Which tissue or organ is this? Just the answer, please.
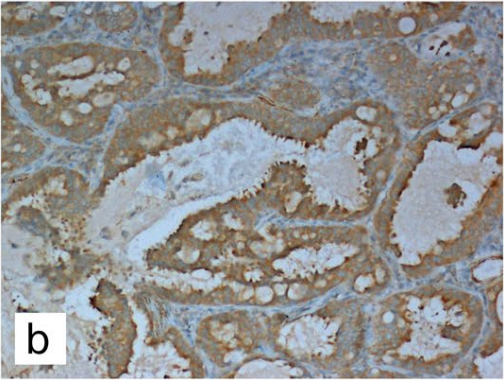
Adenocarcinoma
